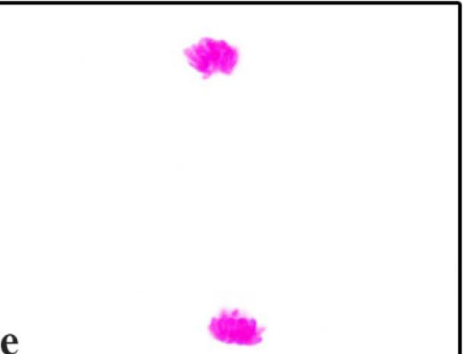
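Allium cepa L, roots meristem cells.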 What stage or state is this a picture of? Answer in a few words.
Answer: Late anaphase.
